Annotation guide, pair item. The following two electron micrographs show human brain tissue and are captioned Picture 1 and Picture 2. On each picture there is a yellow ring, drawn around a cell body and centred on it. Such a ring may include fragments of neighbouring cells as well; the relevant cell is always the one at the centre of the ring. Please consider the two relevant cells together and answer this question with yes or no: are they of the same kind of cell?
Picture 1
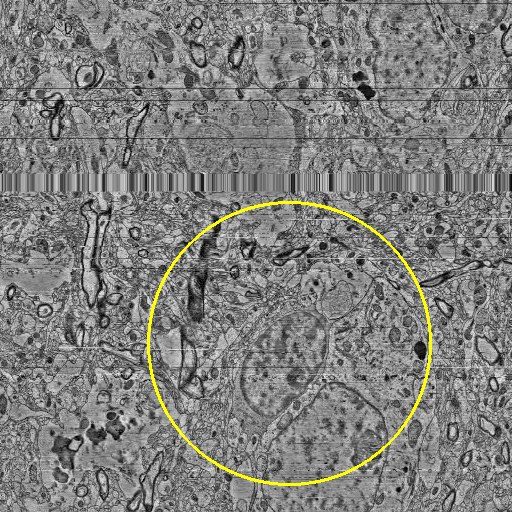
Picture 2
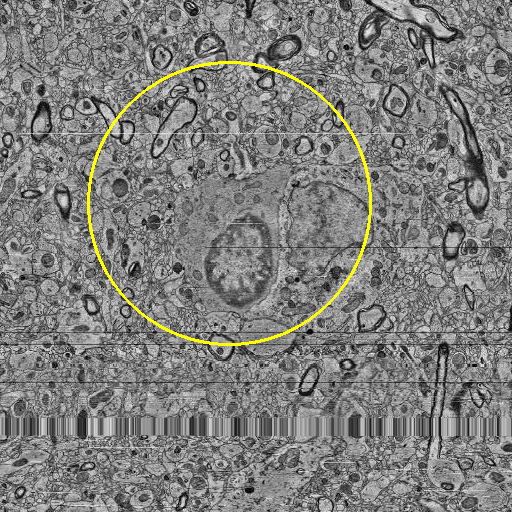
yes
